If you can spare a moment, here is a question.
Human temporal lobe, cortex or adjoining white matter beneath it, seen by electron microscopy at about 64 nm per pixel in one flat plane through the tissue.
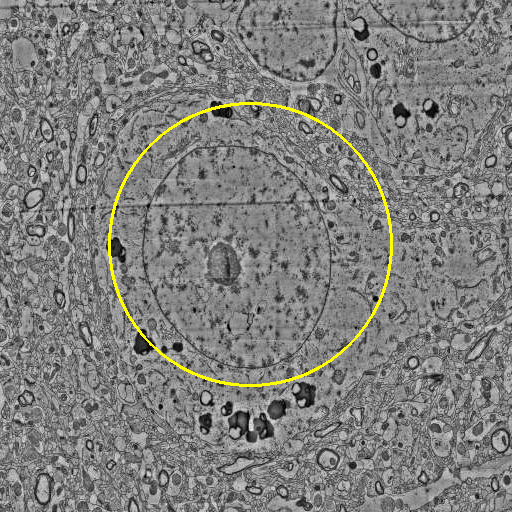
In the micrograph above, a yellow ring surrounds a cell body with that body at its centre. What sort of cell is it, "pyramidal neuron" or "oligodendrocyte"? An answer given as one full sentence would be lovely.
Centred inside the yellow ring, the cell body shown belongs to a pyramidal neuron in this micrograph.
